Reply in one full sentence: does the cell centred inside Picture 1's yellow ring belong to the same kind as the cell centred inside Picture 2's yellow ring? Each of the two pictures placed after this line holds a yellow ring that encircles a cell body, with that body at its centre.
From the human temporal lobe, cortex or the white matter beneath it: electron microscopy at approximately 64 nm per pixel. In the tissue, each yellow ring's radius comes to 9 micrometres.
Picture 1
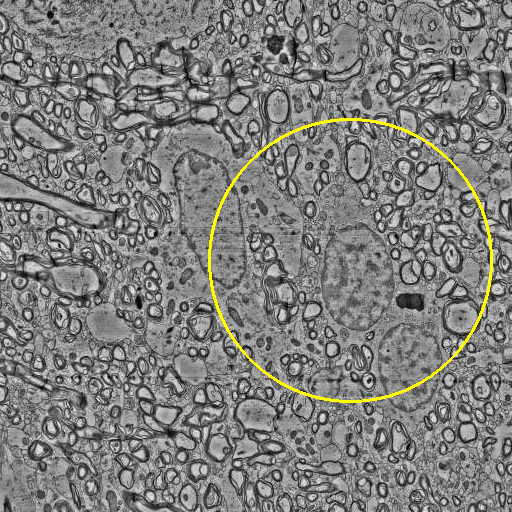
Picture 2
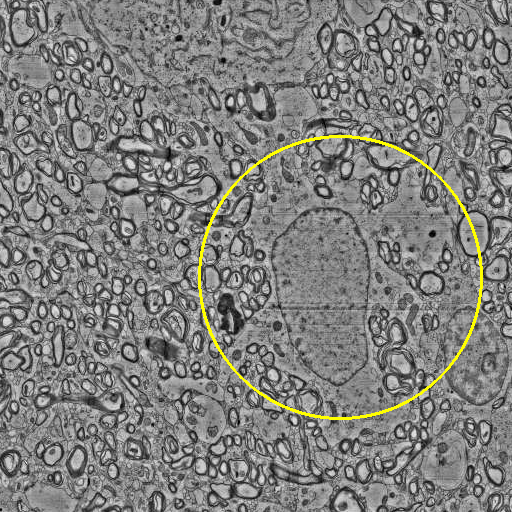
No, the ring-centred cells in Picture 1 and Picture 2 are of two separate kinds.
